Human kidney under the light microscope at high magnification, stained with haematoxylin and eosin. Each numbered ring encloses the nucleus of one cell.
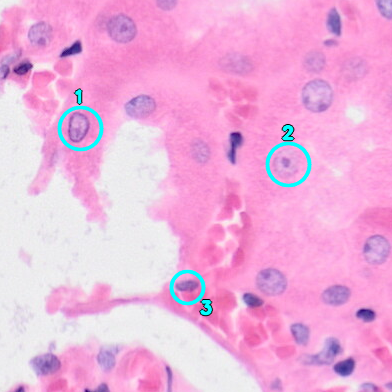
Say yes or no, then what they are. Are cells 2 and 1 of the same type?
Yes, cells number 2 and number 1 are both proximal tubule cells.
